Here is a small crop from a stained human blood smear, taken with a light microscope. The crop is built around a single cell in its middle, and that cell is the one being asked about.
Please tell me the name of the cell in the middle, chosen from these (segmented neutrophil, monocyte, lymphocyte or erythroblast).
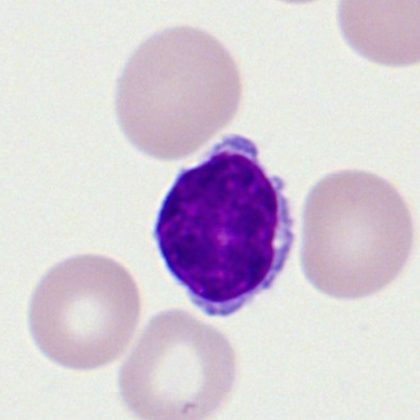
lymphocyte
